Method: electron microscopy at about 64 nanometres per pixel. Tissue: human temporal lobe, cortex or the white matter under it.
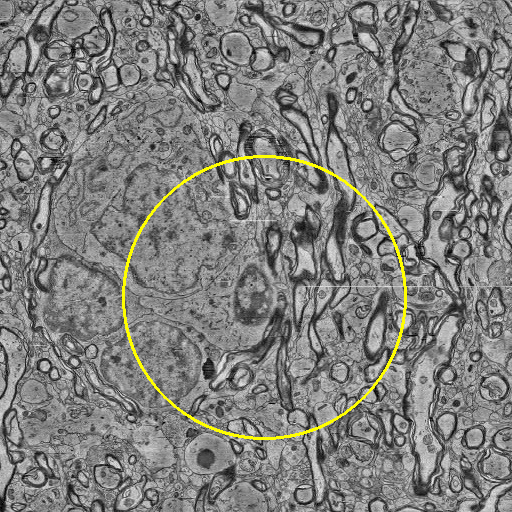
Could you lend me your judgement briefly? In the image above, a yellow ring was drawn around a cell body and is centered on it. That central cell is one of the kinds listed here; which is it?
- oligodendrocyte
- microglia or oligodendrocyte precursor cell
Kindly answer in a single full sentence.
Going by the list, a microglial cell or oligodendrocyte precursor cell is the kind at the ring's center in the picture.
